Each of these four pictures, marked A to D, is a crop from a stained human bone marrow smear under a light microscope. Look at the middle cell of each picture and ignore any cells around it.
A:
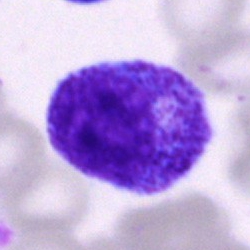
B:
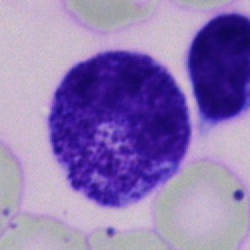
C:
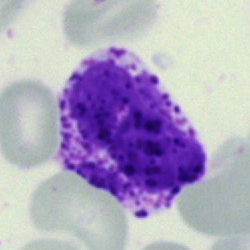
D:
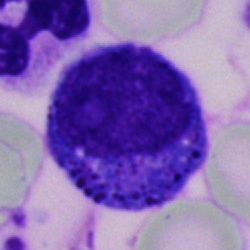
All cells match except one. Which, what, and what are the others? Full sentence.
The remaining crops are all promyelocytes, so crop C, being a basophil, is the exception.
